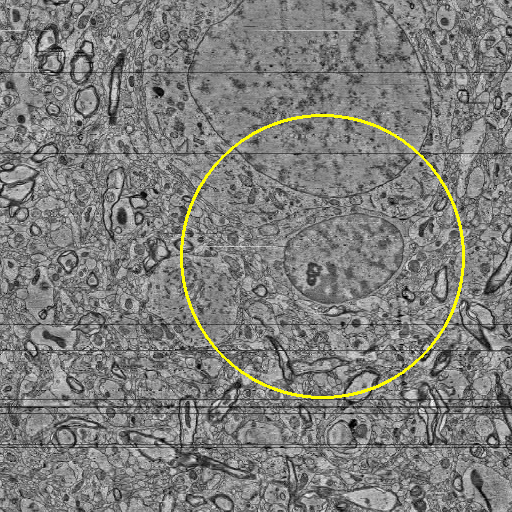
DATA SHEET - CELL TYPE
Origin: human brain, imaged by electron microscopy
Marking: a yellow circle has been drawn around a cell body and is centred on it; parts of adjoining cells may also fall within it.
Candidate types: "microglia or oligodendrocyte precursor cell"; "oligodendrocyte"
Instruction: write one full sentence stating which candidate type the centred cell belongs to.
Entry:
The cell body at the centre of the yellow ring in this micrograph belongs to an oligodendrocyte.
